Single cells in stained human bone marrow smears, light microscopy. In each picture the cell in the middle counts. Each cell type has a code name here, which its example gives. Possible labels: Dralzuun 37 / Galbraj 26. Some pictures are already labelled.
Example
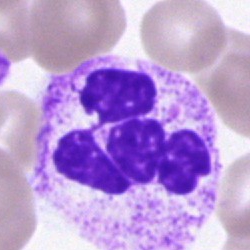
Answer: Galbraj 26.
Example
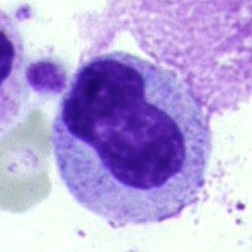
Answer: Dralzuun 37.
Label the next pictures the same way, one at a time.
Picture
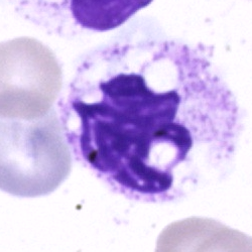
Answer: Galbraj 26.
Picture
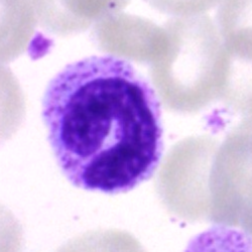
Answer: Dralzuun 37.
